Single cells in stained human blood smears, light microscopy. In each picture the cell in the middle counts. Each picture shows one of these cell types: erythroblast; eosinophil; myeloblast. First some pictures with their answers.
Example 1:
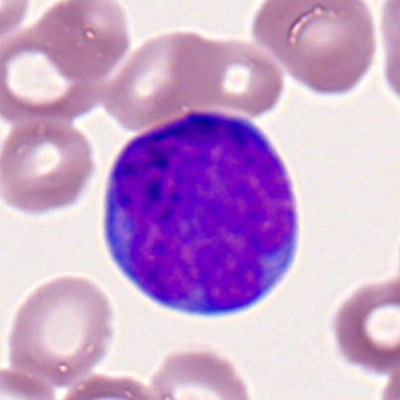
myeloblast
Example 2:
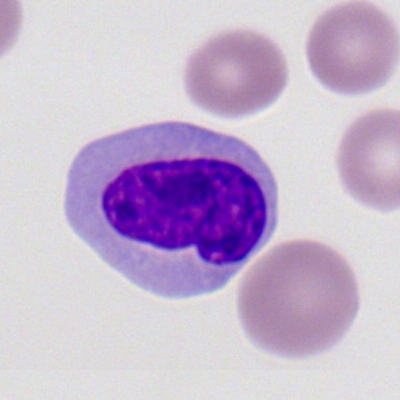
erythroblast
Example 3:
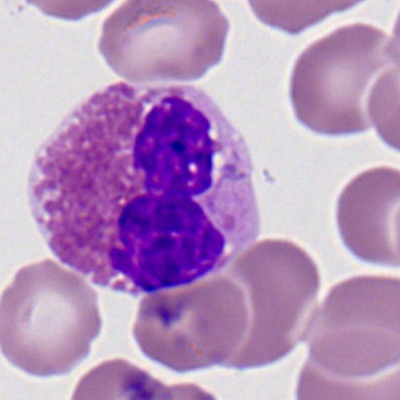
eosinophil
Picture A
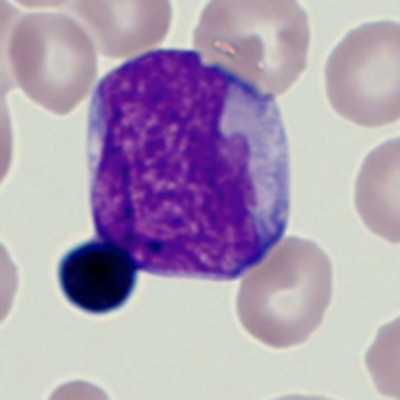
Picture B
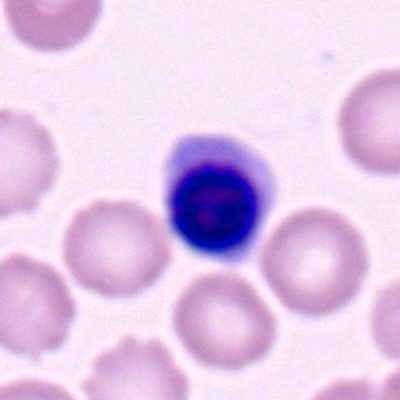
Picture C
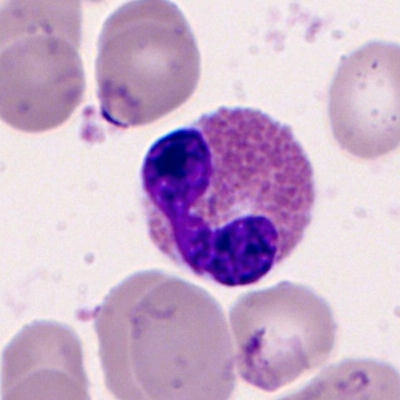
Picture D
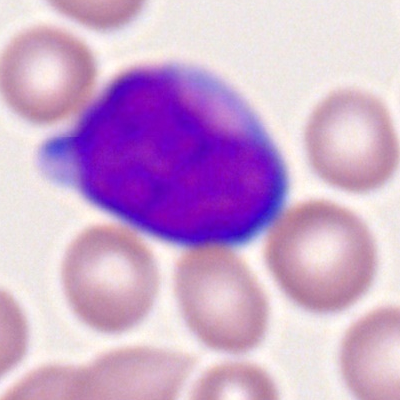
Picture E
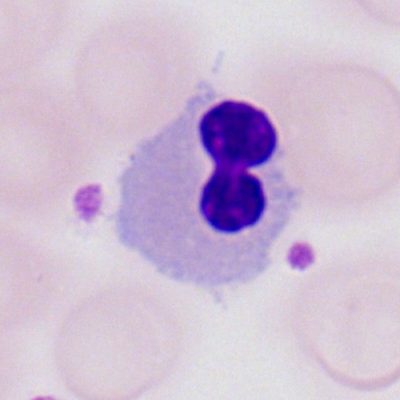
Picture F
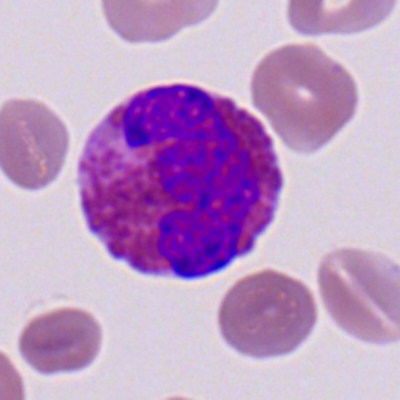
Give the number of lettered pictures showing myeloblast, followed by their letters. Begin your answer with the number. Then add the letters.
2, namely A, D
